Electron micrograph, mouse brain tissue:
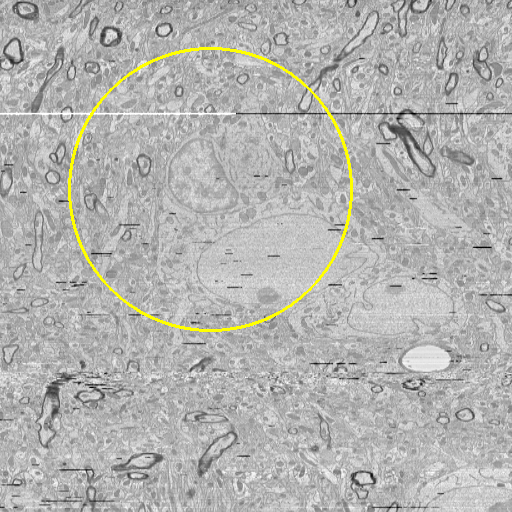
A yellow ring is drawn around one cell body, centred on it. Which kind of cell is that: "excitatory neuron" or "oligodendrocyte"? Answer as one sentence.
It is an oligodendrocyte at the centre of the ring.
